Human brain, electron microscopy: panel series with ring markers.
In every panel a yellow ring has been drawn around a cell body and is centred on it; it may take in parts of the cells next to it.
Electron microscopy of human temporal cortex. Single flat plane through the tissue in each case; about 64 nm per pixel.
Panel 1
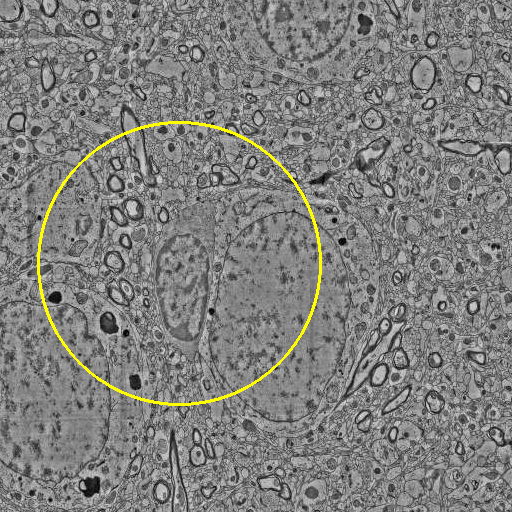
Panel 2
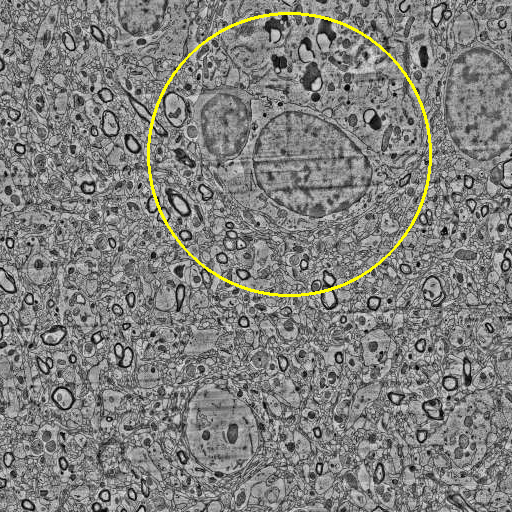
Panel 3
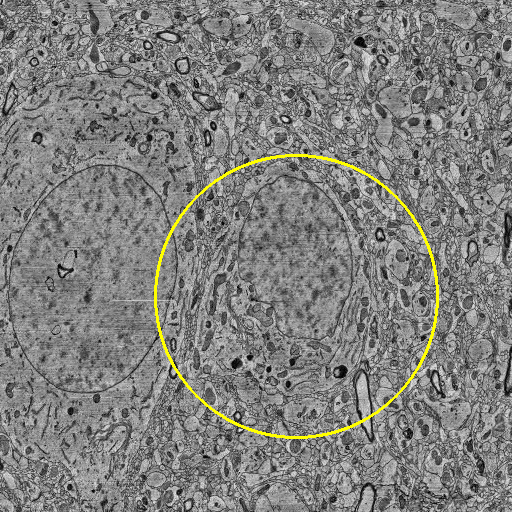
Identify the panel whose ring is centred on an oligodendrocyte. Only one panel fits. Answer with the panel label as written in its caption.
Panel 1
